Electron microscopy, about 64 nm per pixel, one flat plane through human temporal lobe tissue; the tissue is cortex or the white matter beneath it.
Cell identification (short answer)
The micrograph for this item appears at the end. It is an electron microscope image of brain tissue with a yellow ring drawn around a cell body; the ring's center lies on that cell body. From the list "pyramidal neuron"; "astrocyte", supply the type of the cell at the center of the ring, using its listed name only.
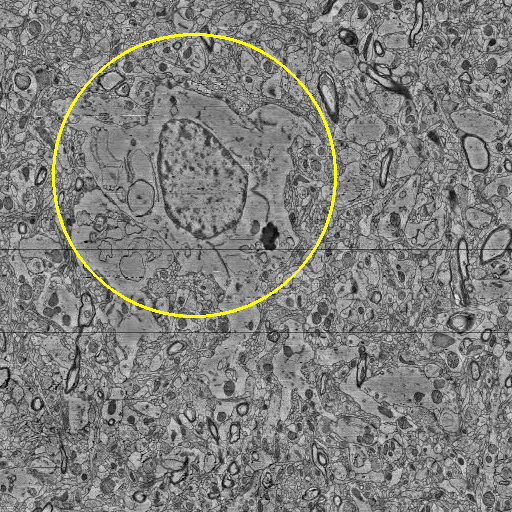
astrocyte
